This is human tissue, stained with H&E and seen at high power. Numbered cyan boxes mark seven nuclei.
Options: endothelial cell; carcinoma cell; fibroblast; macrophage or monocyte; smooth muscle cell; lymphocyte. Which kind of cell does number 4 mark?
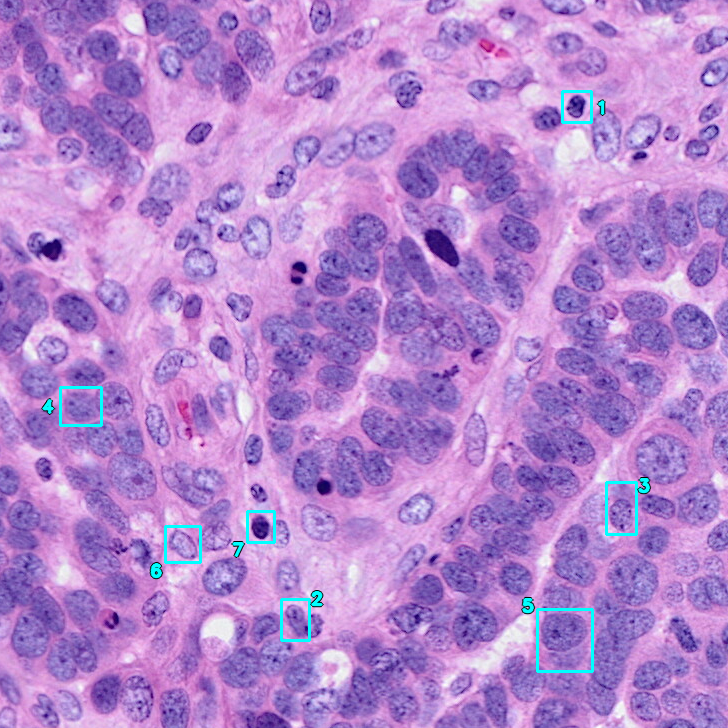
carcinoma cell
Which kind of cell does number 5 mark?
carcinoma cell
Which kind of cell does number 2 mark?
macrophage or monocyte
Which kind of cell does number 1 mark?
lymphocyte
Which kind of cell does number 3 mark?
carcinoma cell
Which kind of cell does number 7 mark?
lymphocyte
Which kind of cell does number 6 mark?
fibroblast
